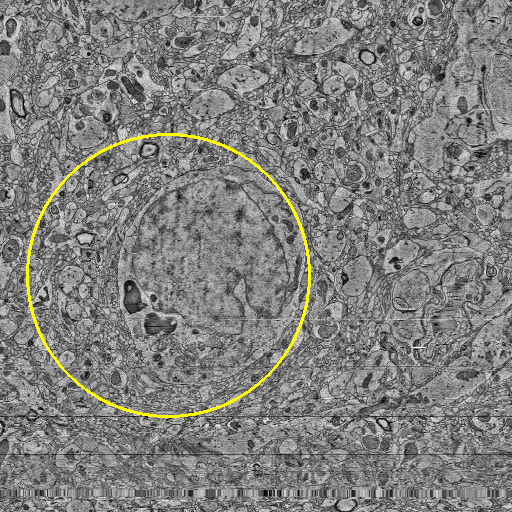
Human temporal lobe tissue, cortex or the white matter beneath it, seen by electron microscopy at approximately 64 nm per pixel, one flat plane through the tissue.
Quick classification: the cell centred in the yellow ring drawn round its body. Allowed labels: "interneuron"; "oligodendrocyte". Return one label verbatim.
interneuron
